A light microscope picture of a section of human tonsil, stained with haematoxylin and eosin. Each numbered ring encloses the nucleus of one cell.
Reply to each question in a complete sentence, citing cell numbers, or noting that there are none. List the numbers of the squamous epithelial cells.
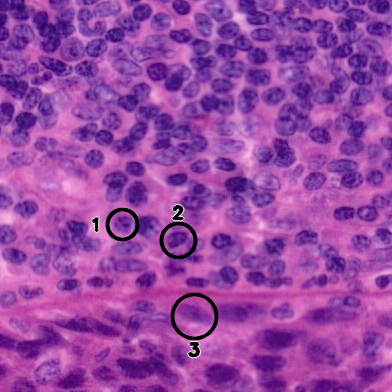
Among the cells marked with numbers, the only one that is a squamous epithelial cell is number 3.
